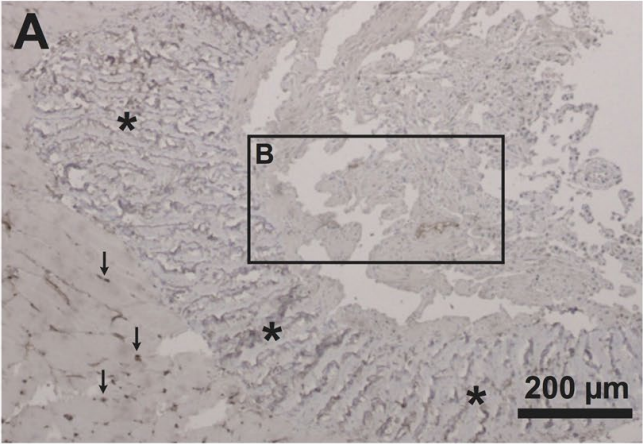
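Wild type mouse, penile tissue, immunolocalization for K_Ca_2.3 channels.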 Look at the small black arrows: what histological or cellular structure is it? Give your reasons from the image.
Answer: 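The arrows point to tiny brown dots and threads. These lie between large, pale, parallel muscle fibers at the lower left. On this evidence: capillaries.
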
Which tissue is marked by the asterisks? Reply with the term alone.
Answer: Albuginea layer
